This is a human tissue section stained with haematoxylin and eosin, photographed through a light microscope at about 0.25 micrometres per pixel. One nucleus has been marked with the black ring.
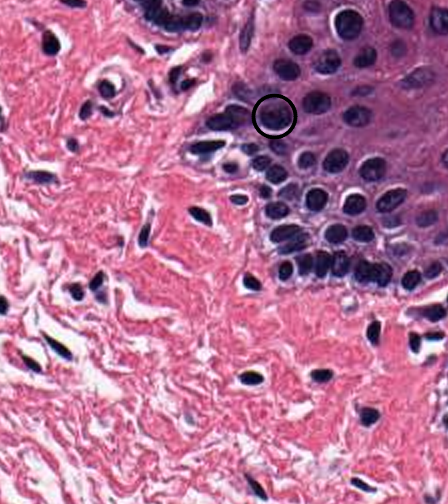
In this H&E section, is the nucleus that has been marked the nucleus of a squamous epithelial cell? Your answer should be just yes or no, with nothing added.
yes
